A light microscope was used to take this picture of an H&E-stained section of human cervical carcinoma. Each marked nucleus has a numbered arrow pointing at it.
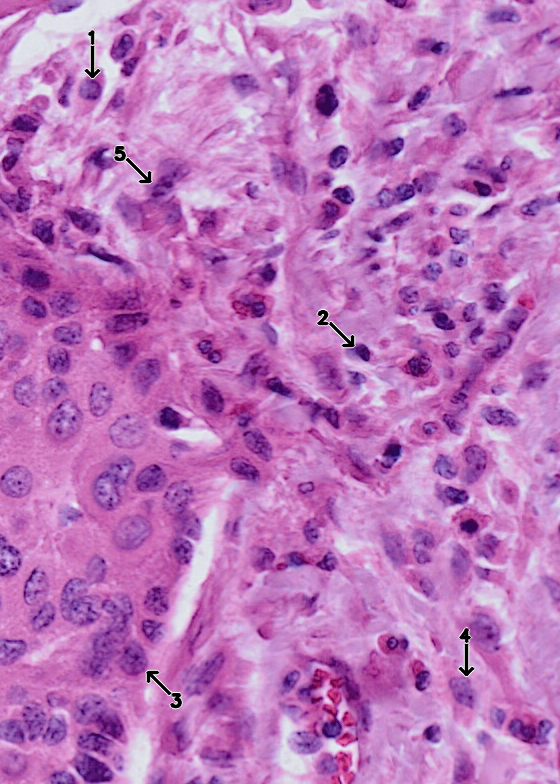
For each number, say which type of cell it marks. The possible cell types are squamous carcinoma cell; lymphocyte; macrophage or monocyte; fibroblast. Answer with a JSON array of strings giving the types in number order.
["macrophage or monocyte", "lymphocyte", "squamous carcinoma cell", "macrophage or monocyte", "fibroblast"]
